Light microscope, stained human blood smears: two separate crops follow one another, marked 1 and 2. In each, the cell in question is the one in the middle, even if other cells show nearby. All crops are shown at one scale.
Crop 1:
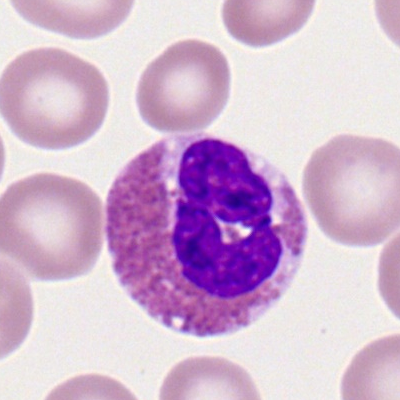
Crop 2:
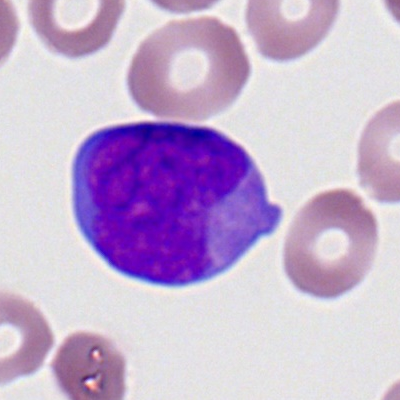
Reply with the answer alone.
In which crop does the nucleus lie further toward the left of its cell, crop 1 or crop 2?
2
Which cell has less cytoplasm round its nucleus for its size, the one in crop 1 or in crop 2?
2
